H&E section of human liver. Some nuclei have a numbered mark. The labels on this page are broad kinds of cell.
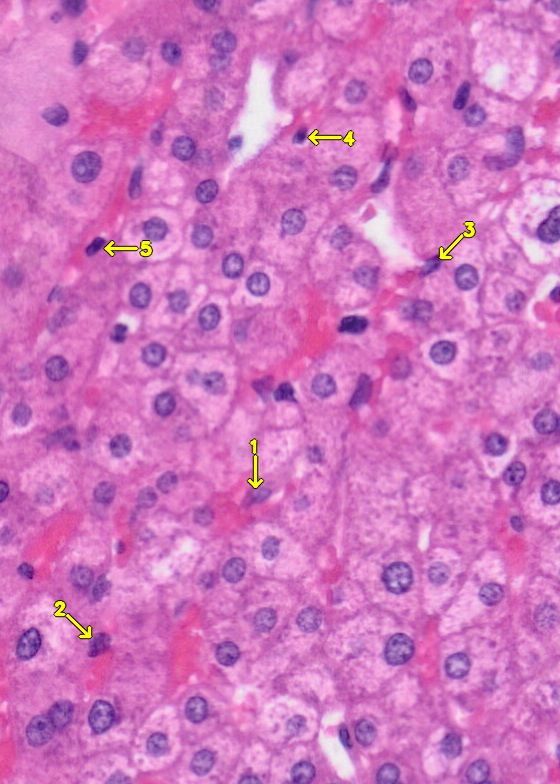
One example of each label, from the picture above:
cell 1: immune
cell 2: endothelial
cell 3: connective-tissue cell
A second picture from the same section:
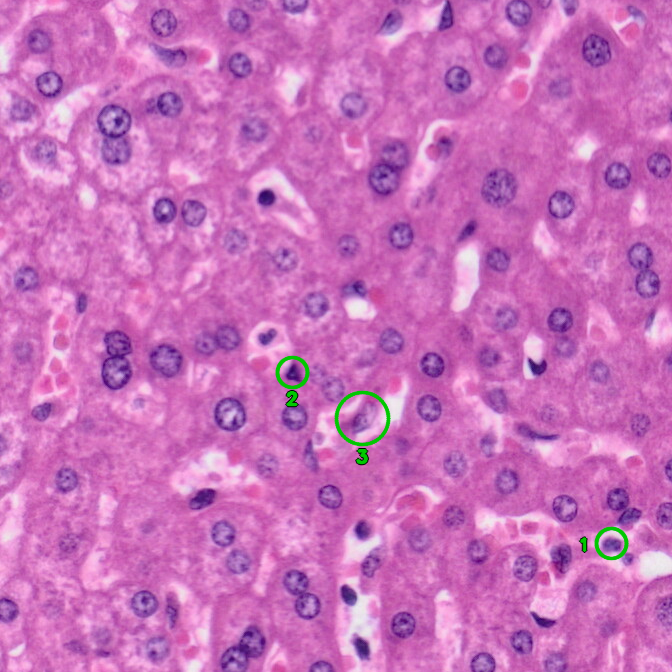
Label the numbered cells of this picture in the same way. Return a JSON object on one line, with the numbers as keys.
{"1": "immune", "2": "connective-tissue cell", "3": "immune"}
